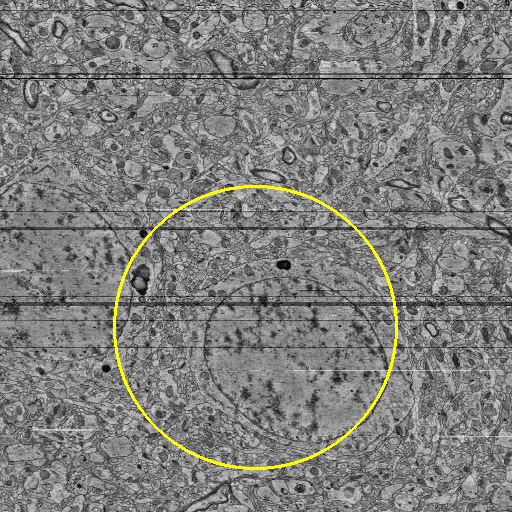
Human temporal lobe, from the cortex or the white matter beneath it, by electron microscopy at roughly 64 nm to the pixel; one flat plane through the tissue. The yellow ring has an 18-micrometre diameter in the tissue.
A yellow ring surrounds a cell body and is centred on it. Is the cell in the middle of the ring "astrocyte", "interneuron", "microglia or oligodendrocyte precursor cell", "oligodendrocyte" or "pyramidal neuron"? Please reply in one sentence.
The ring is centred on a pyramidal neuron.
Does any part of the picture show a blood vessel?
No, no blood vessel shows in the picture.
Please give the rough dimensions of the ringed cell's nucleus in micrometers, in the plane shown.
The nucleus appears roughly 12 by 10 micrometres in this plane.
